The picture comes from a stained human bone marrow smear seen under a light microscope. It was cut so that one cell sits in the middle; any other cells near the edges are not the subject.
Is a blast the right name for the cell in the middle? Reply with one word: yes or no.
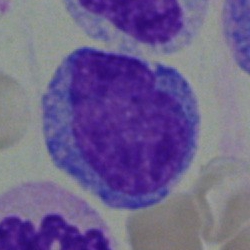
yes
